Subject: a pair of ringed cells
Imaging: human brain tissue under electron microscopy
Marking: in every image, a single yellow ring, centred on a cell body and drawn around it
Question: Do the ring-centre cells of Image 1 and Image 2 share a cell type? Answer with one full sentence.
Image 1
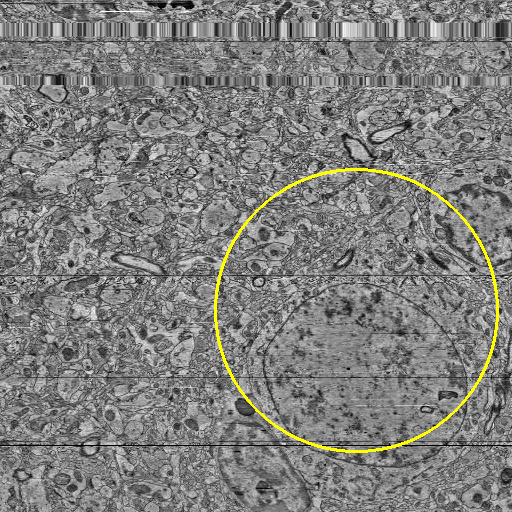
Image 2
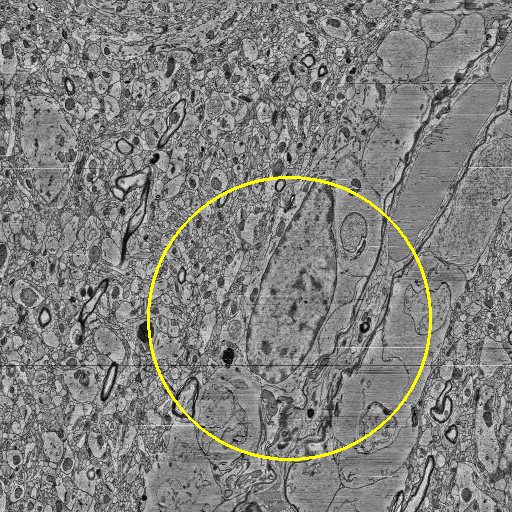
No, at the ring centres in the images sit cells of two separate types.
